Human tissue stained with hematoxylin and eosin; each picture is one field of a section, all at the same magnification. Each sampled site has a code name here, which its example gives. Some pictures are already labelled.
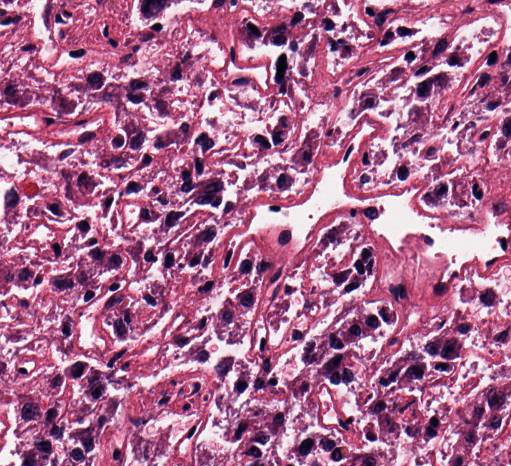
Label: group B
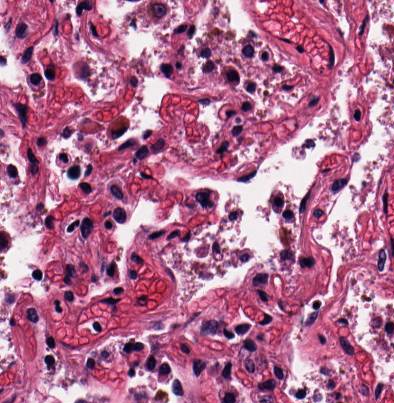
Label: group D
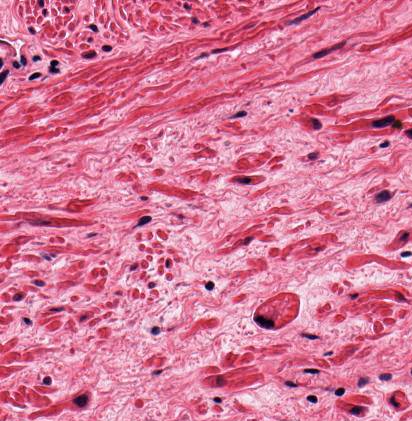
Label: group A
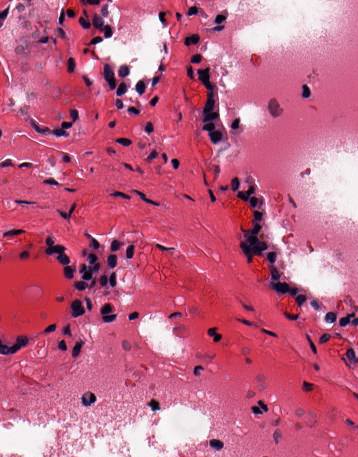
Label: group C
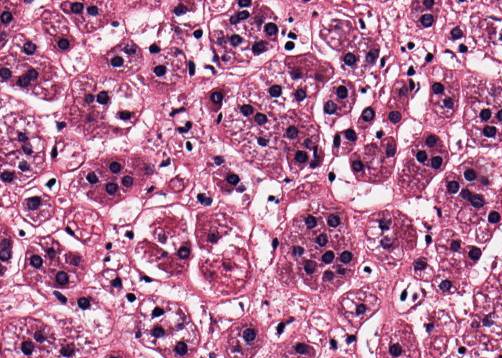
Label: group B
